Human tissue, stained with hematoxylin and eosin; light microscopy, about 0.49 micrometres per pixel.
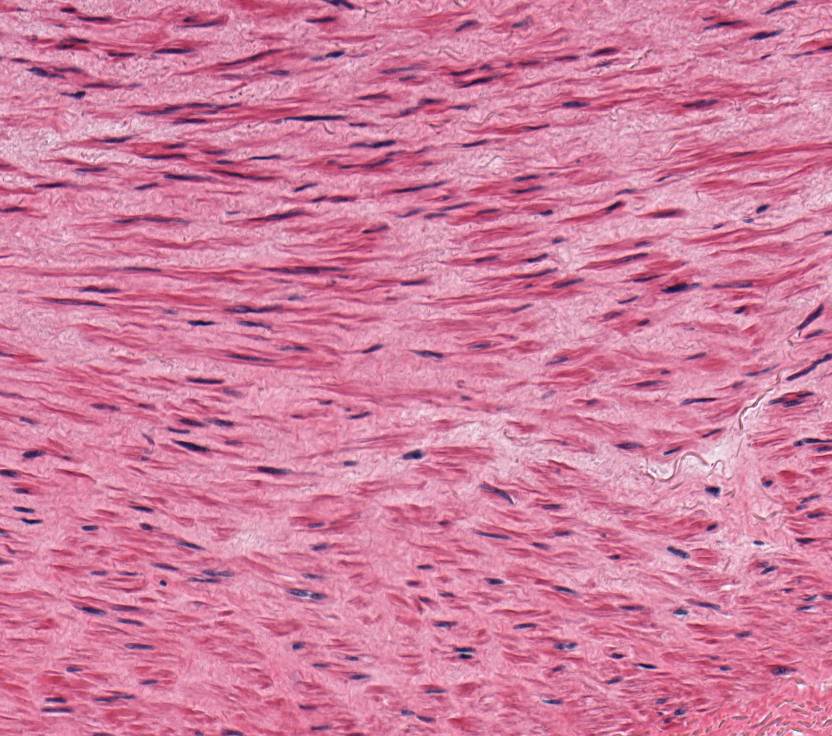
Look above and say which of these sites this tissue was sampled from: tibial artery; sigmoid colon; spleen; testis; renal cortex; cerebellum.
tibial artery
